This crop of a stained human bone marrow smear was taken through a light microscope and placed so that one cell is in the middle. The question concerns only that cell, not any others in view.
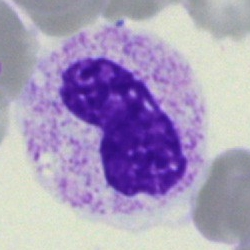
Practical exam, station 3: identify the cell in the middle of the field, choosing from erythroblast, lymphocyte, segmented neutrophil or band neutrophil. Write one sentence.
Answering briefly, the cell in the middle is a band neutrophil.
